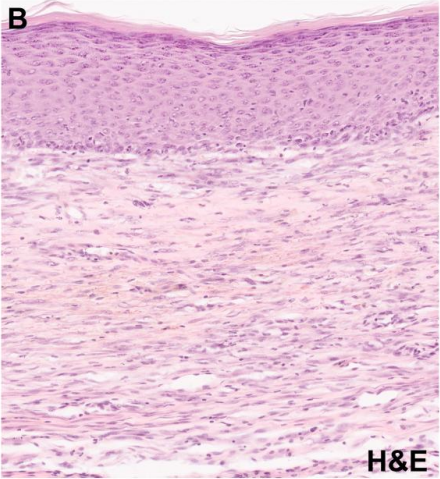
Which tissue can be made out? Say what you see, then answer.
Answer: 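Epidermis. A multilayered epithelium of tightly packed nucleated cells lies over looser connective tissue. A thin pink anucleate layer caps the epithelium.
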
